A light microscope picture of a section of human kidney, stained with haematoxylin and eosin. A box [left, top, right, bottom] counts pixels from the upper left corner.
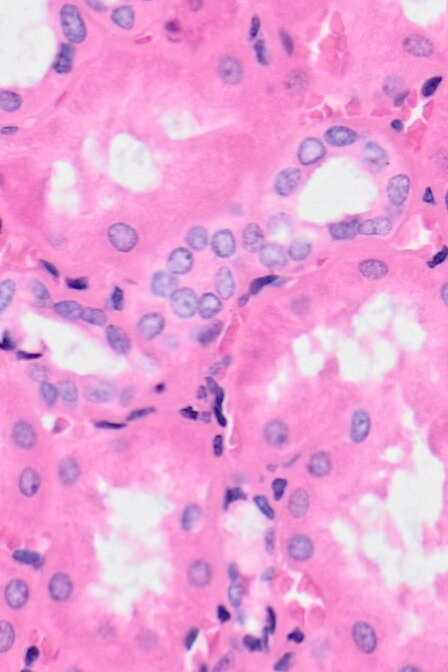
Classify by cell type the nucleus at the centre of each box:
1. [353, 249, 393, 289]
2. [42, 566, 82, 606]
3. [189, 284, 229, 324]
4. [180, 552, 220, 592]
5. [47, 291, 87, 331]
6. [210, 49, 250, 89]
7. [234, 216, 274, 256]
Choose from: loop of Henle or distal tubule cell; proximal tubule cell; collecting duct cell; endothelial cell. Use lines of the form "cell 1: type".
cell 1: proximal tubule cell
cell 2: proximal tubule cell
cell 3: collecting duct cell
cell 4: proximal tubule cell
cell 5: collecting duct cell
cell 6: proximal tubule cell
cell 7: collecting duct cell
